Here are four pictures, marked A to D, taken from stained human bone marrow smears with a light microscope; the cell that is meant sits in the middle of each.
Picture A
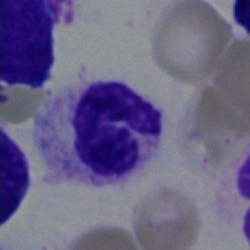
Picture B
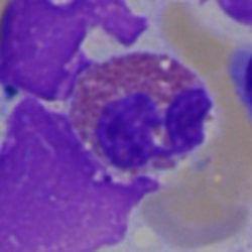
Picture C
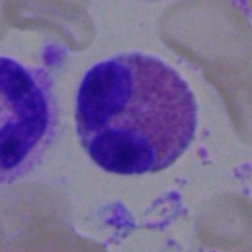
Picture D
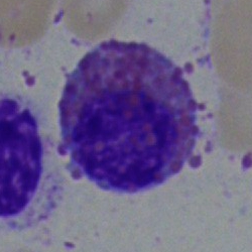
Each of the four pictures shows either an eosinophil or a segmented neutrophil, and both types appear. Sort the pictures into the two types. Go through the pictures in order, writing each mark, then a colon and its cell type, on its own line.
A: segmented neutrophil
B: eosinophil
C: eosinophil
D: eosinophil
